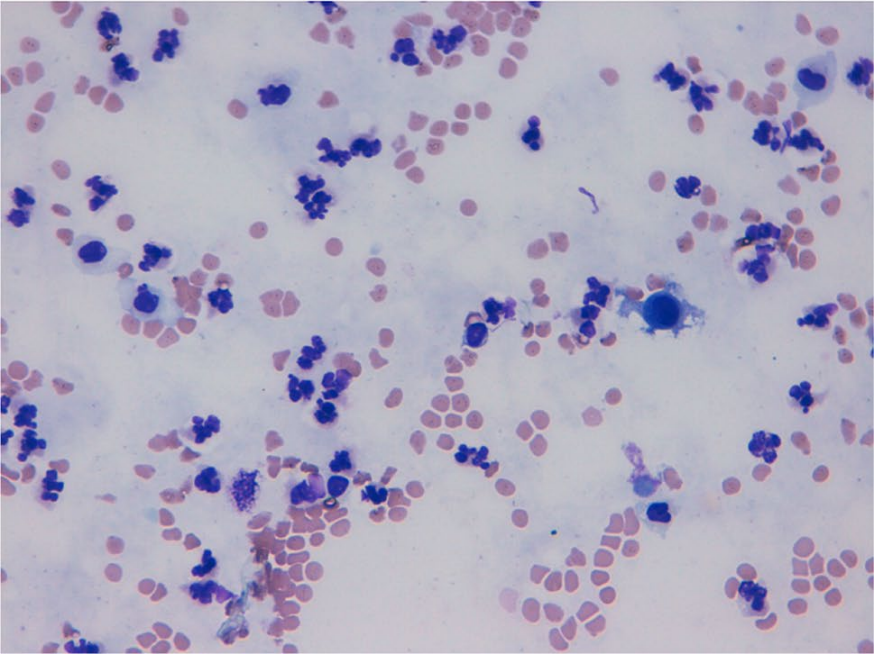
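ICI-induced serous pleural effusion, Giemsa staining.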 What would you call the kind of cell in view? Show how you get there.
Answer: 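Most nucleated cells have nuclei split into several dark purple lobes. These lobed cells are scattered in large numbers among pink red cells.
Answer: segmented granulocytes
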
